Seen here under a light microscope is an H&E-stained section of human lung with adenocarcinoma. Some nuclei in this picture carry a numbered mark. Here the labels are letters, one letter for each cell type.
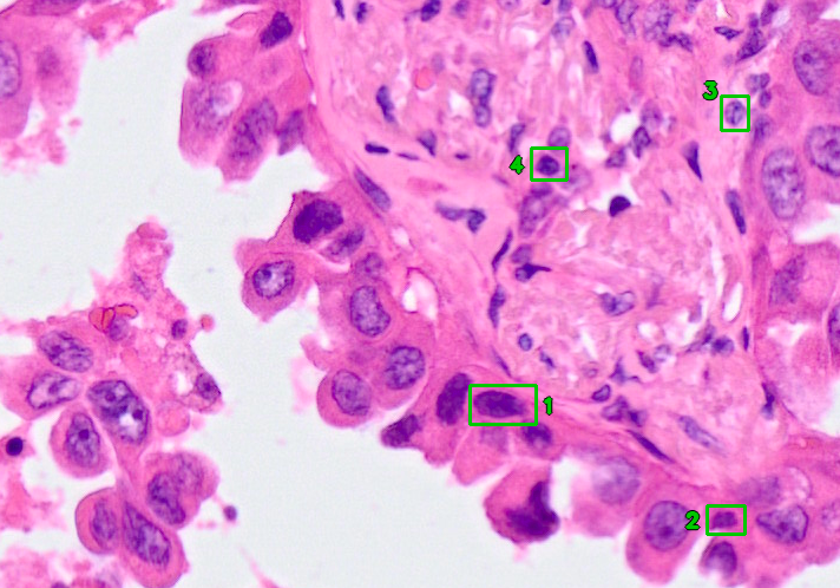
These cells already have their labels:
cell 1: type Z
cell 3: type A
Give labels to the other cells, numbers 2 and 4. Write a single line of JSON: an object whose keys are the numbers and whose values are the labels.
{"2": "type Z", "4": "type A"}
